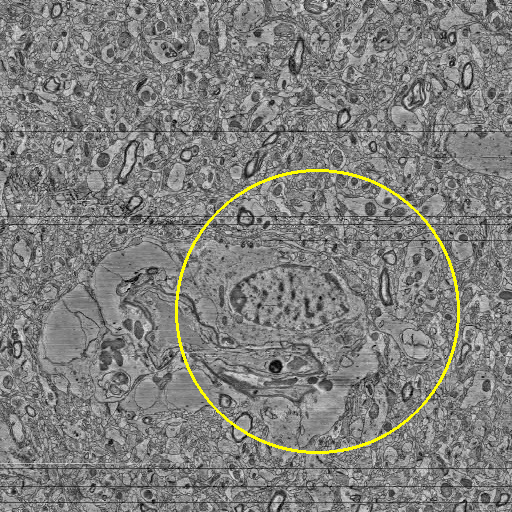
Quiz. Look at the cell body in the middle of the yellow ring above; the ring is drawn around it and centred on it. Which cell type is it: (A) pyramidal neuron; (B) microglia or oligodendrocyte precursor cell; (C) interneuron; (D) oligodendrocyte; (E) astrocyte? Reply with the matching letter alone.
B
